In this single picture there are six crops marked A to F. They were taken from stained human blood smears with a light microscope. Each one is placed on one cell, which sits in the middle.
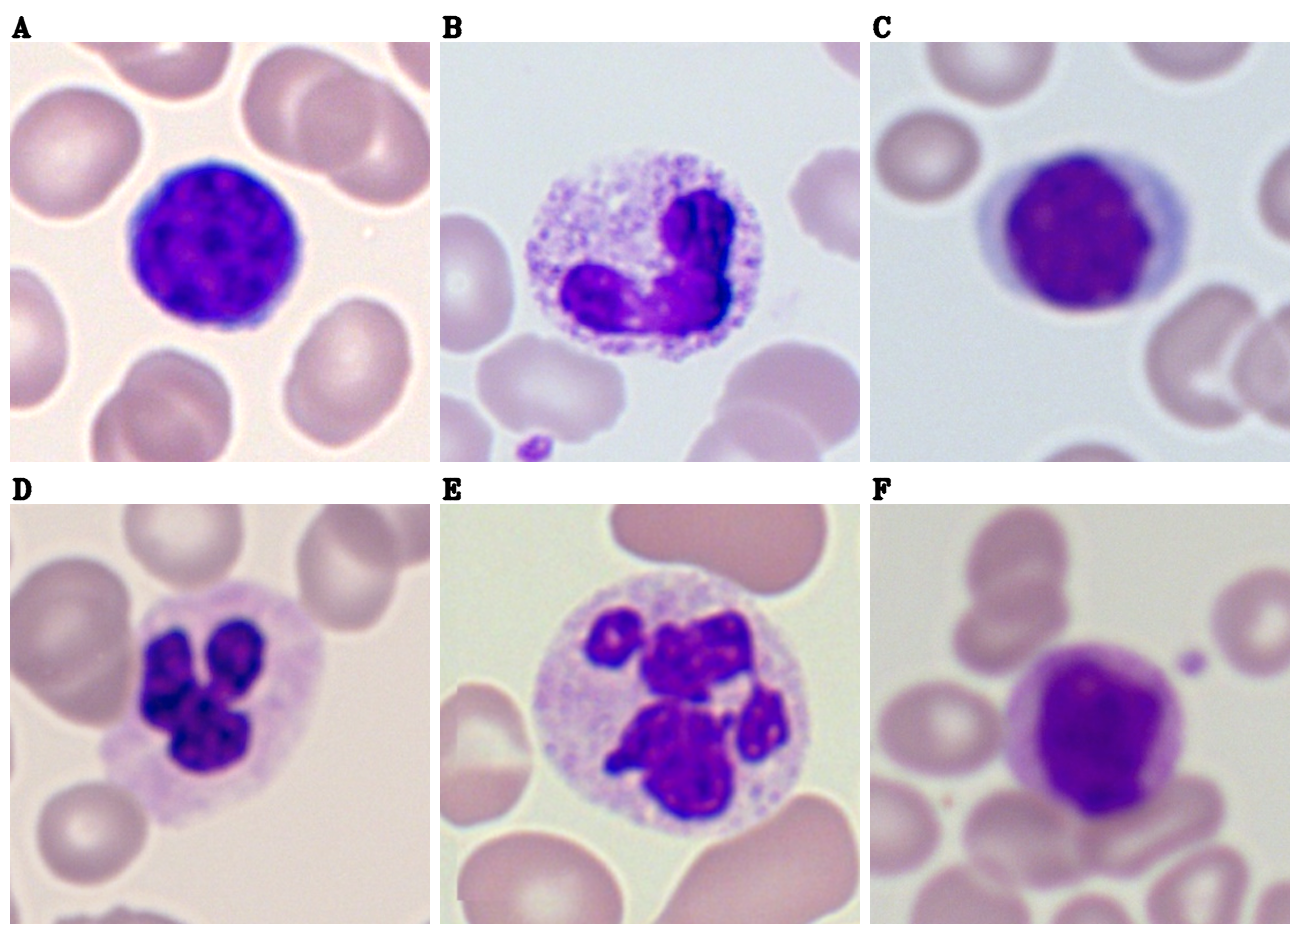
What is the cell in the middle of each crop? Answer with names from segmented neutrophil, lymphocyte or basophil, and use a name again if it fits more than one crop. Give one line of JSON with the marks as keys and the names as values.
{"A": "lymphocyte", "B": "segmented neutrophil", "C": "lymphocyte", "D": "segmented neutrophil", "E": "segmented neutrophil", "F": "basophil"}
